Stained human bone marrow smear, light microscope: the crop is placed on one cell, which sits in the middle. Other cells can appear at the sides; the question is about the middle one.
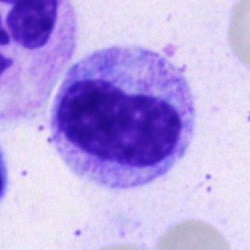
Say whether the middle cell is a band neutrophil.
no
